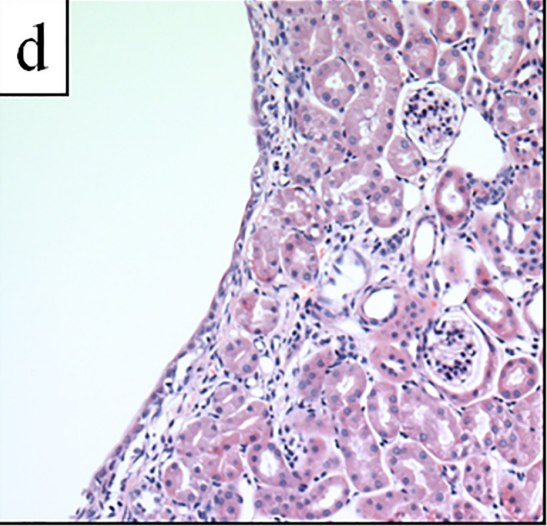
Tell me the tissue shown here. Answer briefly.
Kidney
